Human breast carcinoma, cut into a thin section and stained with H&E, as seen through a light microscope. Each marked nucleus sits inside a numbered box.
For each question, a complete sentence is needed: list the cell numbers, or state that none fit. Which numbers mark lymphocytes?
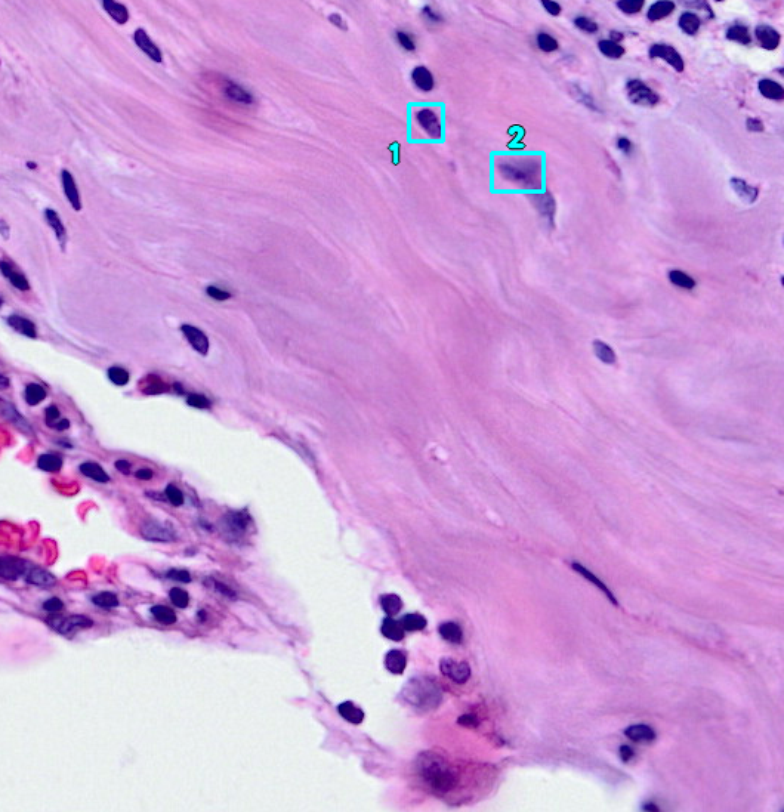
Cell 1 is a lymphocyte, while every other numbered cell is not.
